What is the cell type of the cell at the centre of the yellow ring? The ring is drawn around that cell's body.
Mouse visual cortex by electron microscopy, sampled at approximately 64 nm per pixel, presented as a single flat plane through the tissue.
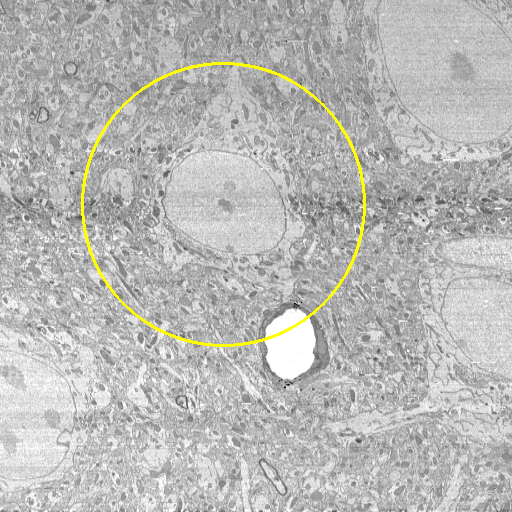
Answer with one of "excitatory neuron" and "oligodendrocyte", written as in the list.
excitatory neuron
